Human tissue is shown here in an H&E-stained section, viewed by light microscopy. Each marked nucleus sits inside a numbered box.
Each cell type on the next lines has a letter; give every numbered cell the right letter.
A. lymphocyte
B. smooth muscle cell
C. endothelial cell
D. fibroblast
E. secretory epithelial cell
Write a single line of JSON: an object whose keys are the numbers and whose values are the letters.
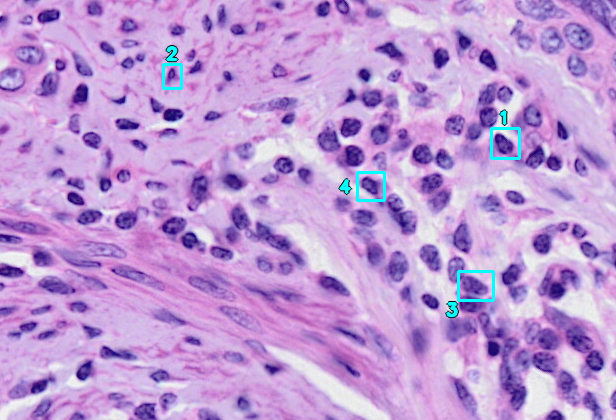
{"1": "A", "2": "B", "3": "A", "4": "A"}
